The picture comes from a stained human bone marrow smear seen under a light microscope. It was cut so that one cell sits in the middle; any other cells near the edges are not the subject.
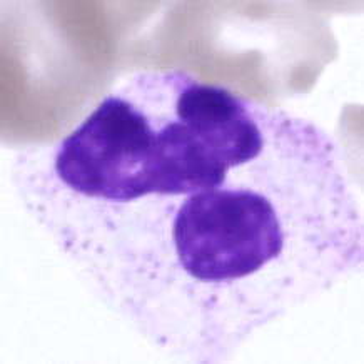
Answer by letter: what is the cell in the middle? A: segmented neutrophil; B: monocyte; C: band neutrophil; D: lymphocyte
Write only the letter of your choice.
A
